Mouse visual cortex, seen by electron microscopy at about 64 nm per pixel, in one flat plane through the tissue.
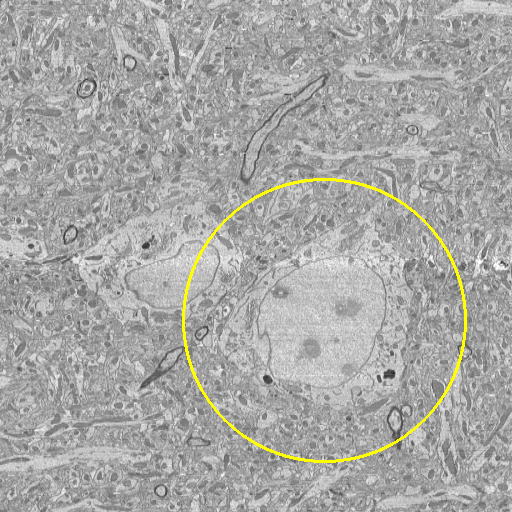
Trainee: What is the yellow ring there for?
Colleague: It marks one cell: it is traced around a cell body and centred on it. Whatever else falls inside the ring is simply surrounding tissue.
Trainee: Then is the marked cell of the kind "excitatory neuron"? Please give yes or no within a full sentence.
Yes, the marked cell at the centre of the yellow ring is of the kind asked about.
